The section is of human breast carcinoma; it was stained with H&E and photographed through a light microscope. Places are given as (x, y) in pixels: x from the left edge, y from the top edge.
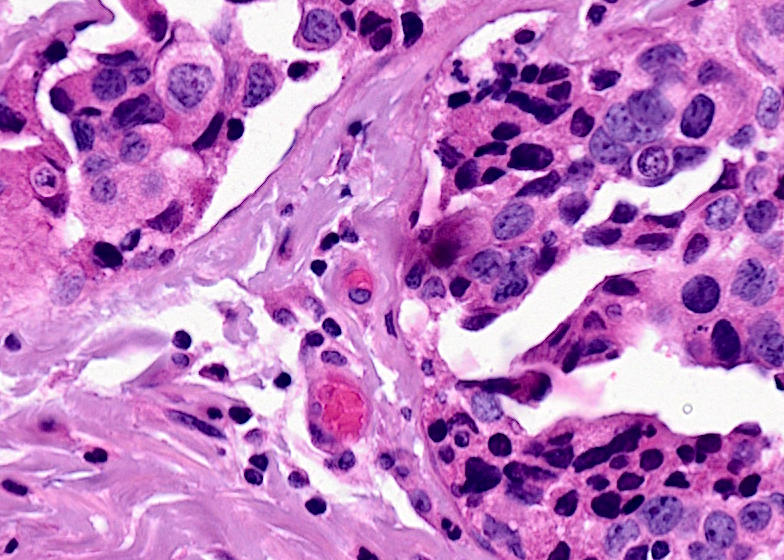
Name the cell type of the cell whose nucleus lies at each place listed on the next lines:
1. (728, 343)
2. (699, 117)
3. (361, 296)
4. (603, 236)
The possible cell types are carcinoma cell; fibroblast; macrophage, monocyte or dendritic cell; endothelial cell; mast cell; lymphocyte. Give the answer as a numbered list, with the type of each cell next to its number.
1. carcinoma cell
2. carcinoma cell
3. endothelial cell
4. carcinoma cell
